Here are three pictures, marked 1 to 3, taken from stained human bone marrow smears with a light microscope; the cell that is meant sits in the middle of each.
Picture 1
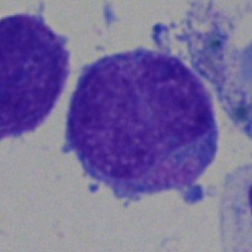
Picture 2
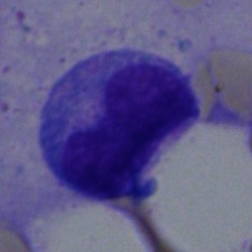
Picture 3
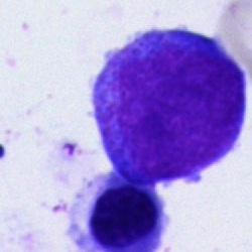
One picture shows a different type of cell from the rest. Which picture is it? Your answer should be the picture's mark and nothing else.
2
